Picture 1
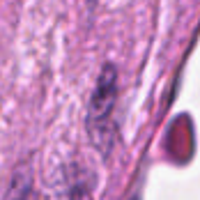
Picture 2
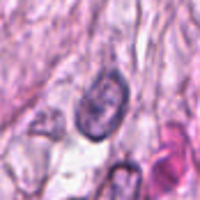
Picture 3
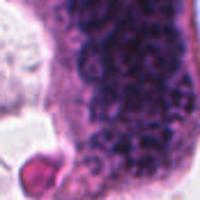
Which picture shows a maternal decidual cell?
Picture 2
